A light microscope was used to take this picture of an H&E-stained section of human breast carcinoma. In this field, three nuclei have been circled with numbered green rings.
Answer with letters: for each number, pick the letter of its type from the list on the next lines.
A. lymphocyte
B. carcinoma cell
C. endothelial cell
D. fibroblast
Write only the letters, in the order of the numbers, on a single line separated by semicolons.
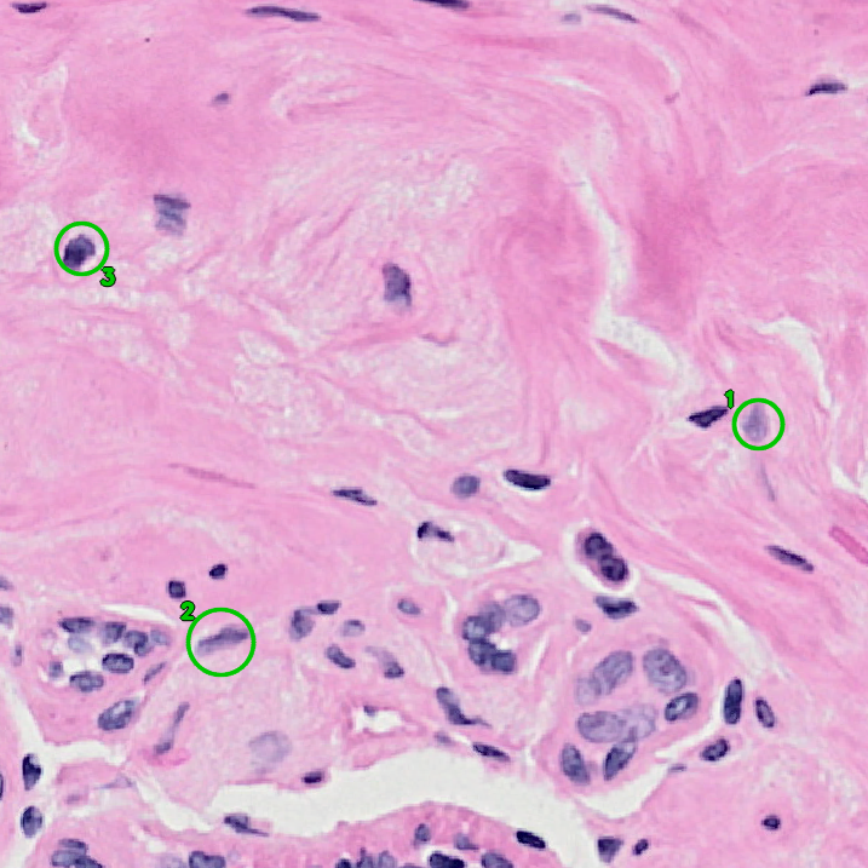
D; D; A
